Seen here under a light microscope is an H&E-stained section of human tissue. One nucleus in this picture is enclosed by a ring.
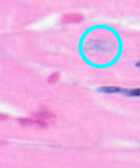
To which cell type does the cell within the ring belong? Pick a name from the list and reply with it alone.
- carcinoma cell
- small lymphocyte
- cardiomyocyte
cardiomyocyte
